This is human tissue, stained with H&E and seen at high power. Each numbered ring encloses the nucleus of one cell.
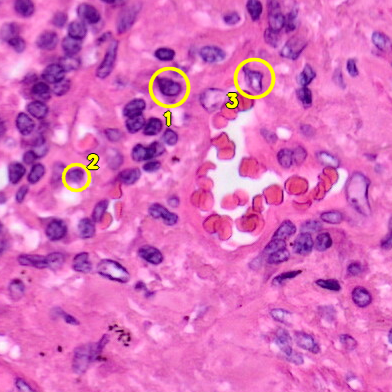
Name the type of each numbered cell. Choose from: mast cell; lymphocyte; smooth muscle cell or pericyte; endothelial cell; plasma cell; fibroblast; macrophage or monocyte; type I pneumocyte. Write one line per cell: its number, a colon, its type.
1: plasma cell
2: lymphocyte
3: endothelial cell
